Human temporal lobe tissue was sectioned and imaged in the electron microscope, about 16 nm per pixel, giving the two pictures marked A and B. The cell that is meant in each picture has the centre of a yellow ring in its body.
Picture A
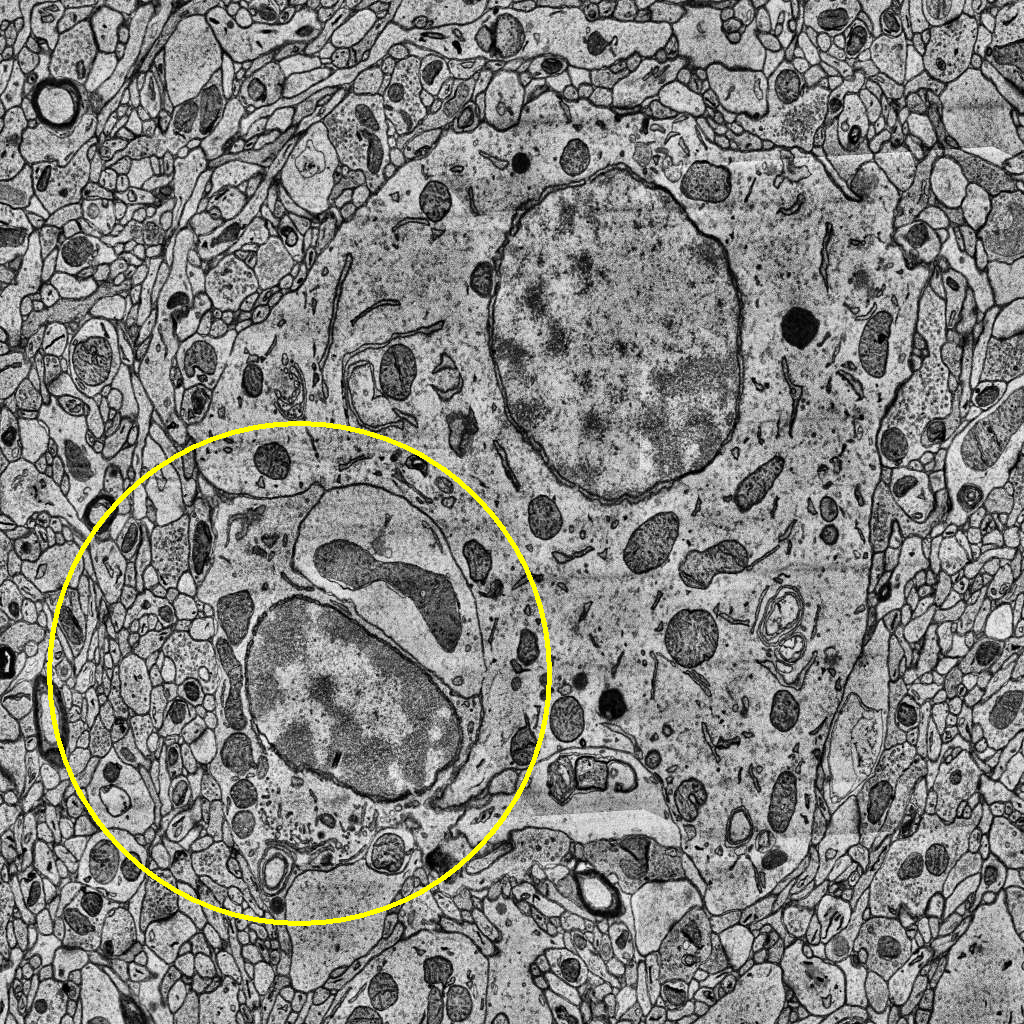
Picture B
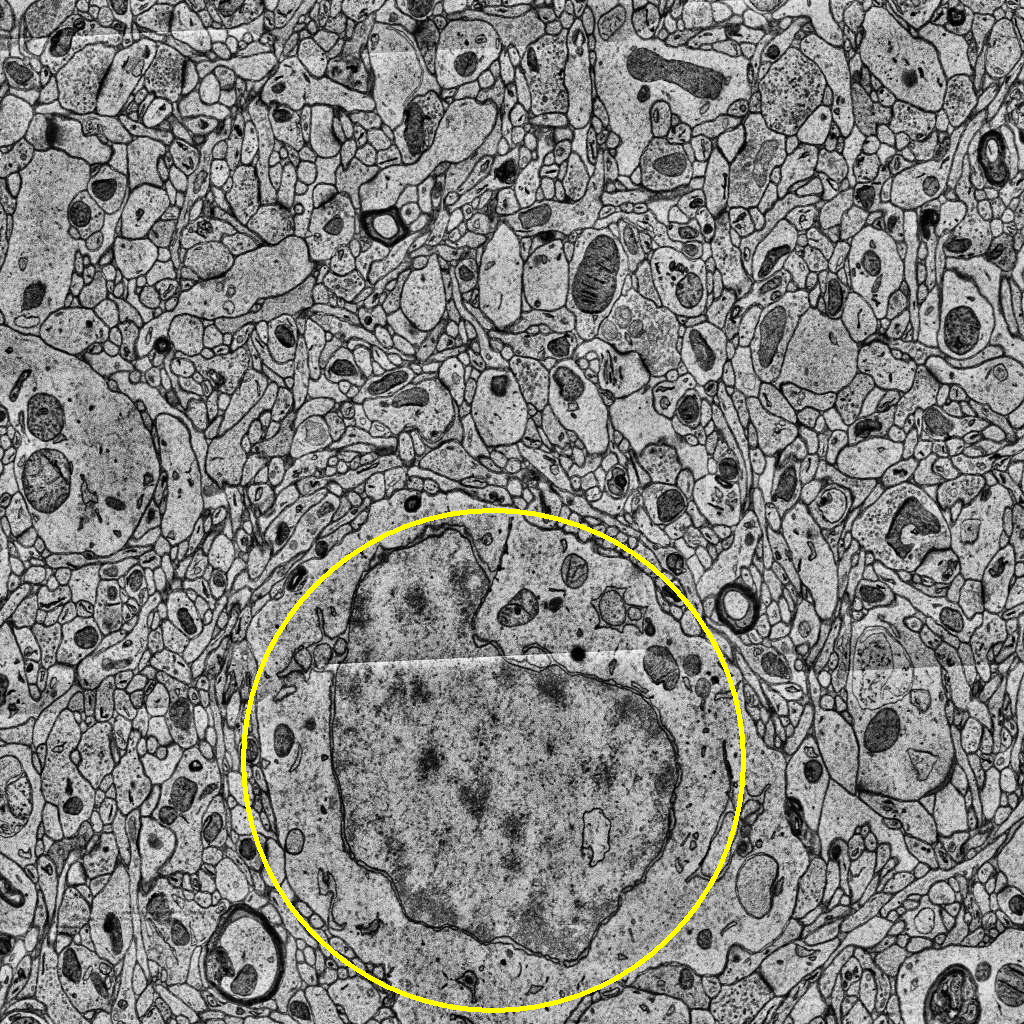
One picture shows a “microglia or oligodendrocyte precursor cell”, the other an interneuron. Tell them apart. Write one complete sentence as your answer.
The cell in picture A is a “microglia or oligodendrocyte precursor cell”, and the one in picture B is an interneuron.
